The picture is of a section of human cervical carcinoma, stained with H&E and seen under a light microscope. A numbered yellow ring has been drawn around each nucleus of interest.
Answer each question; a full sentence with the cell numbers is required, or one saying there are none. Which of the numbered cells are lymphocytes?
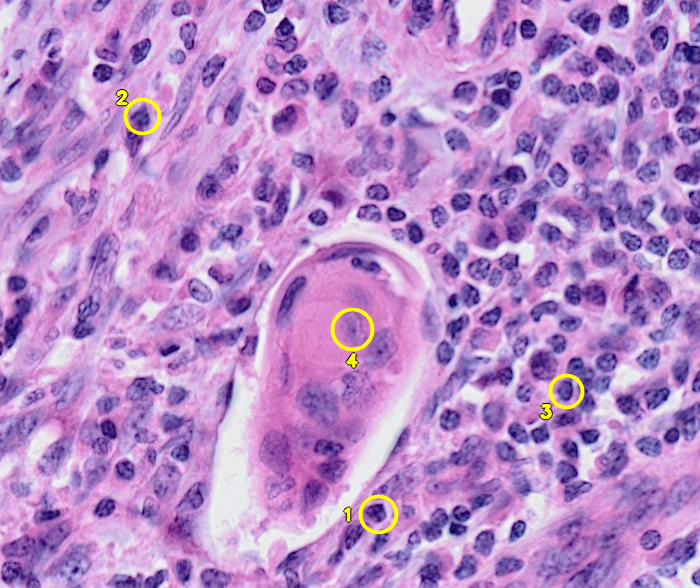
Regarding the numbered cells 1, 2 and 3, these are lymphocytes.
